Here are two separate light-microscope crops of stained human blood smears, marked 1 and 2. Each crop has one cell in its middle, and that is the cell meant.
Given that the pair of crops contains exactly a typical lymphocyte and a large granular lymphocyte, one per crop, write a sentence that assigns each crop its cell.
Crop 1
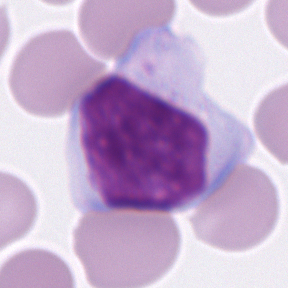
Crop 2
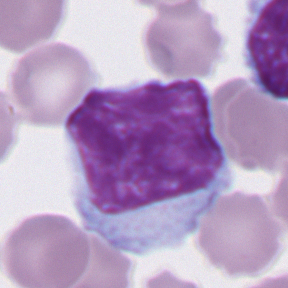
The cell that crop 1 centres on is a large granular lymphocyte, and the cell that crop 2 centres on is a typical lymphocyte.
